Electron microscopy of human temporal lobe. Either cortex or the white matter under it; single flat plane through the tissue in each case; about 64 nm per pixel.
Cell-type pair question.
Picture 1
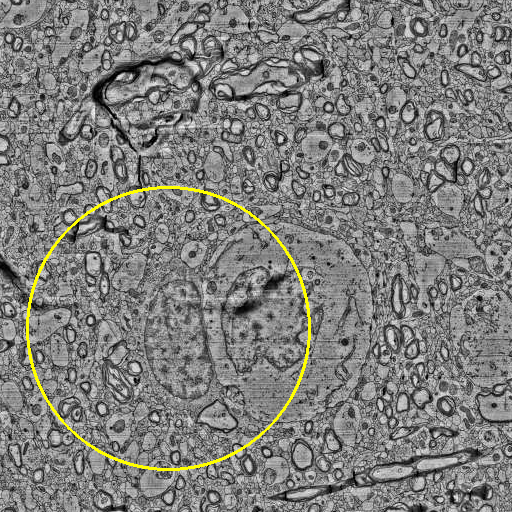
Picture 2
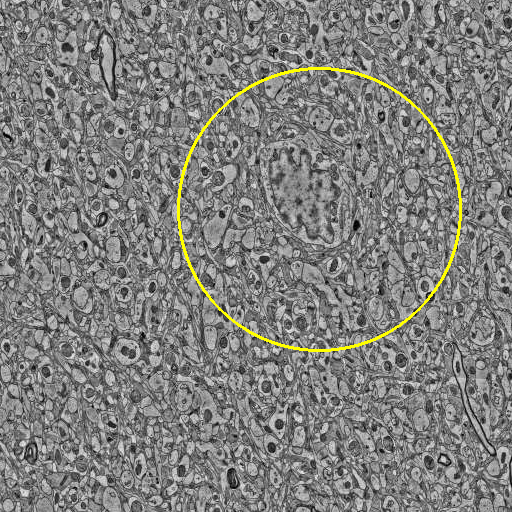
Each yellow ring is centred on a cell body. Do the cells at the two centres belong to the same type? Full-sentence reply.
No, the two cells belong to two types.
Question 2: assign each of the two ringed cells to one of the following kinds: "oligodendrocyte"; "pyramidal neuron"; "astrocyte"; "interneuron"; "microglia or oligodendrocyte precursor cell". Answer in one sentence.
The two cells are an oligodendrocyte in the first picture and an interneuron in the second.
